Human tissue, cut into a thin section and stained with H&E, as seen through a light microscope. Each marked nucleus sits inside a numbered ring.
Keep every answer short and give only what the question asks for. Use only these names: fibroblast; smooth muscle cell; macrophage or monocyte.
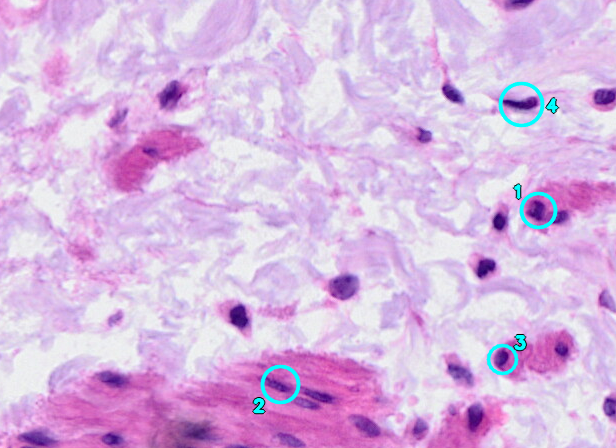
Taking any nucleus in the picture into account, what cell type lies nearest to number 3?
macrophage or monocyte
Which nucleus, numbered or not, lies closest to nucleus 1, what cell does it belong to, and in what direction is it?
a smooth muscle cell to the right of nucleus 1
